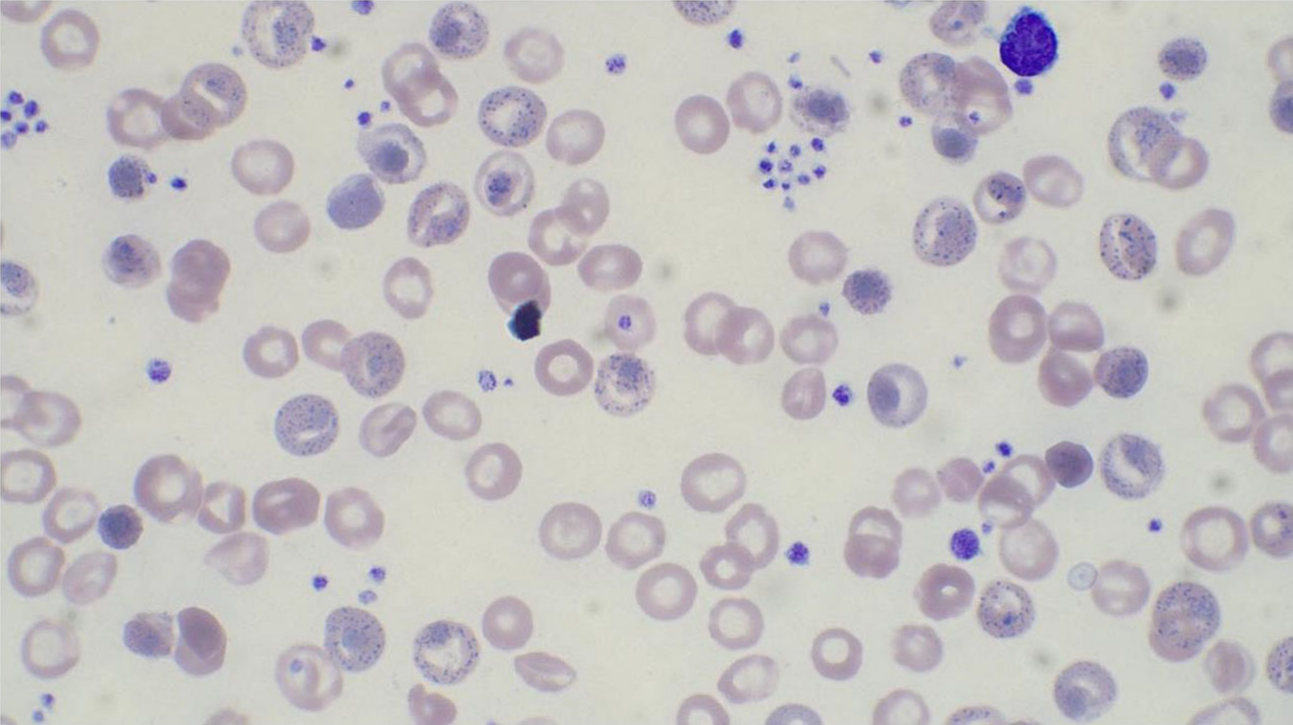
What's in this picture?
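Peripheral blood with a mixture of pink red cells, many of which show central pallor, and a large share of which carry basophilic stippling: numerous fine to coarse blue-purple dots scattered evenly through the cytoplasm. Some red cells are larger and greyish-blue, and the red cells vary in size and shape. Small purple platelets lie between the red cells, singly and in small clusters, and a single small round cell with a dense dark purple nucleus lies near the upper right edge.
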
